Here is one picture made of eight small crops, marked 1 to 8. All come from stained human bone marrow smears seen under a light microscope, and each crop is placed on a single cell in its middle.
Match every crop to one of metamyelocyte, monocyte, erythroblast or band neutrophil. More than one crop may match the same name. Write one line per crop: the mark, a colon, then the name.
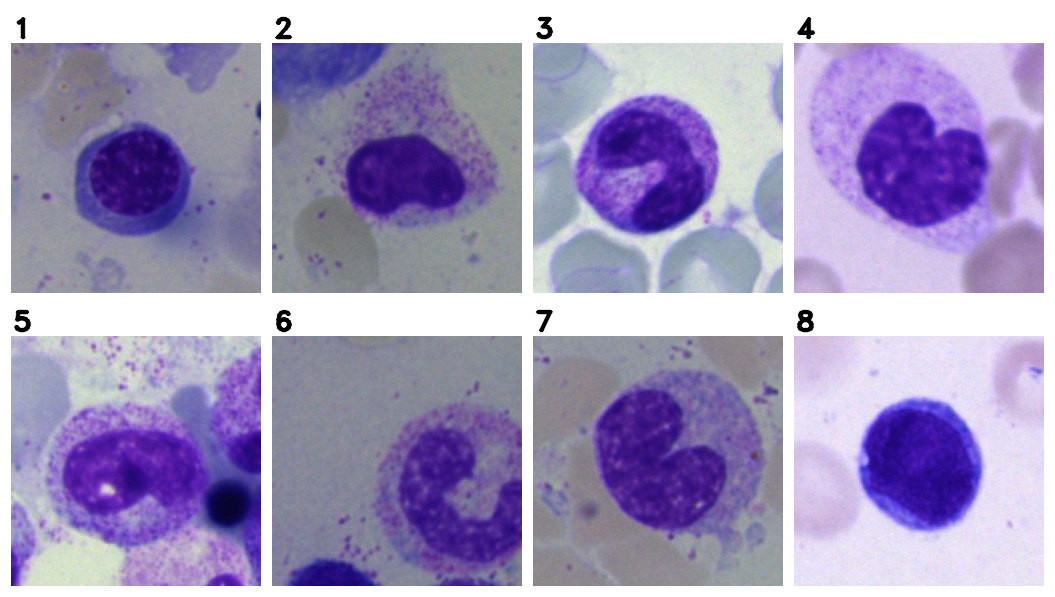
1: erythroblast
2: metamyelocyte
3: band neutrophil
4: metamyelocyte
5: metamyelocyte
6: band neutrophil
7: band neutrophil
8: monocyte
